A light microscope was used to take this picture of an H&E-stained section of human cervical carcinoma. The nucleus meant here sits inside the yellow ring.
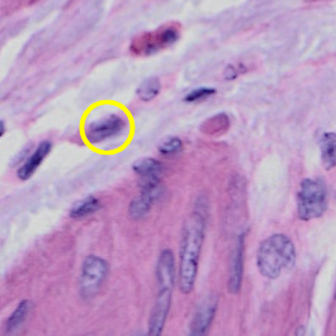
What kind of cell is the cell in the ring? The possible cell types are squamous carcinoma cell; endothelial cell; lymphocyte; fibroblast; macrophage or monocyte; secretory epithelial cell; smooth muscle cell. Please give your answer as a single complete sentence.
Speaking plainly, the cell in the ring is nothing other than a macrophage or monocyte.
